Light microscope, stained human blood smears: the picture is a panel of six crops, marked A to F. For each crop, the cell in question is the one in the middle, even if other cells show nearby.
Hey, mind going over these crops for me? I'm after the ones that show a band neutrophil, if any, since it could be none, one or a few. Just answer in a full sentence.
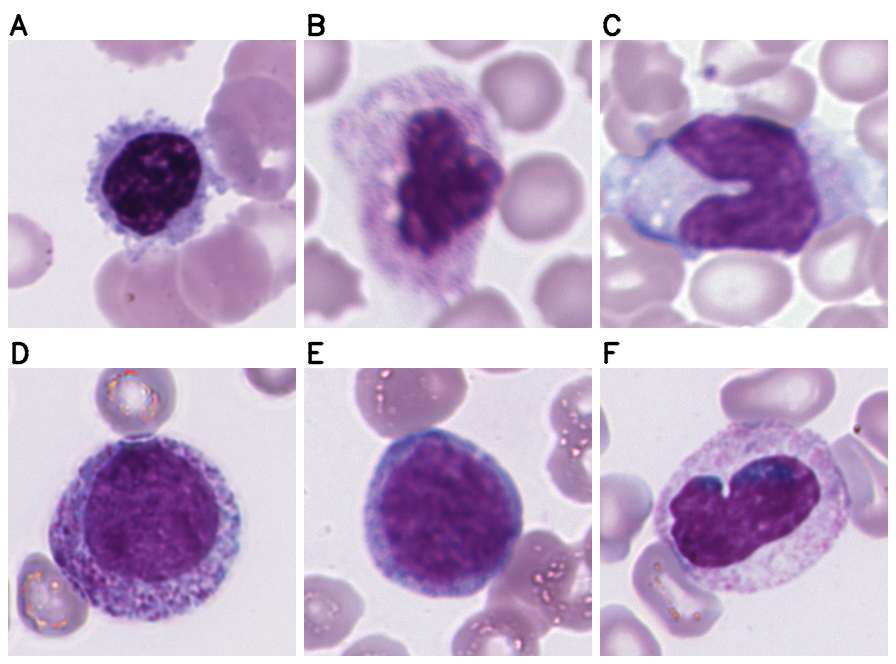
There is a band neutrophil in crop F and in none of the other crops.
